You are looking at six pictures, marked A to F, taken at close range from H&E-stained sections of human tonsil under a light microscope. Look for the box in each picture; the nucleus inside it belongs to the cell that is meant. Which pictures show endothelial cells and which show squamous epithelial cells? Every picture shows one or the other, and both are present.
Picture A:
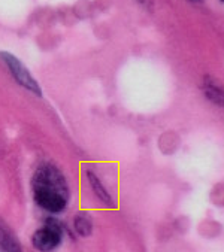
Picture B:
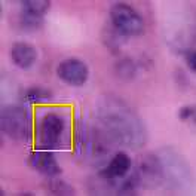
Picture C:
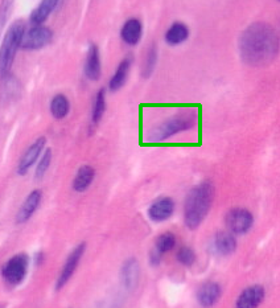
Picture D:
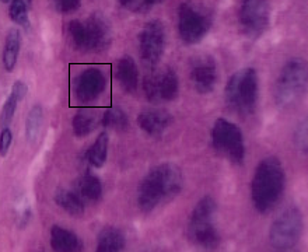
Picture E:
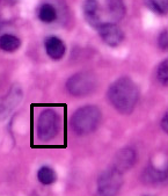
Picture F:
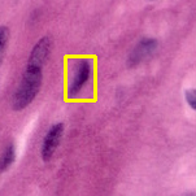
A: endothelial cell
B: endothelial cell
C: endothelial cell
D: squamous epithelial cell
E: squamous epithelial cell
F: squamous epithelial cell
